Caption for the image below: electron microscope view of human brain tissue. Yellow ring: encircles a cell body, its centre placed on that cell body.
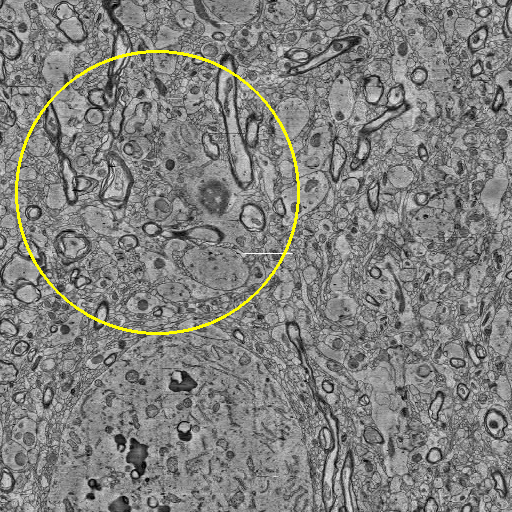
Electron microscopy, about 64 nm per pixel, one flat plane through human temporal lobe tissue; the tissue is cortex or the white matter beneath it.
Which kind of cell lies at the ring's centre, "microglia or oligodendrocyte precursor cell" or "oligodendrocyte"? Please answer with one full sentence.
The picture shows an oligodendrocyte at the centre of the yellow ring.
